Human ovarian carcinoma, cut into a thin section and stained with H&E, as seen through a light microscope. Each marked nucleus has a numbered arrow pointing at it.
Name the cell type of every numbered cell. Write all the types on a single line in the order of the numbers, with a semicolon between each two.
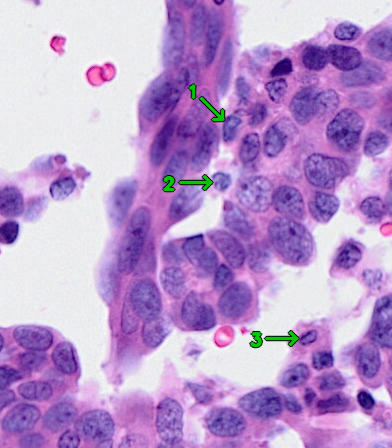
macrophage or monocyte; lymphocyte; macrophage or monocyte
